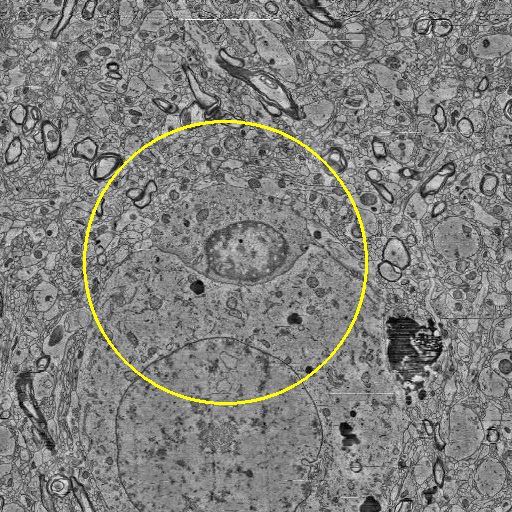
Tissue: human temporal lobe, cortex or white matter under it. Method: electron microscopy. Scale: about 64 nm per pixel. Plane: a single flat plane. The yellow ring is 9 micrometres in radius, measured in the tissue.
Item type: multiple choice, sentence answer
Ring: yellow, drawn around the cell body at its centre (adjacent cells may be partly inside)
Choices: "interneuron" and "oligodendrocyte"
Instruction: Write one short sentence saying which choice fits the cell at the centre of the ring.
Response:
This ring is drawn around an oligodendrocyte.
